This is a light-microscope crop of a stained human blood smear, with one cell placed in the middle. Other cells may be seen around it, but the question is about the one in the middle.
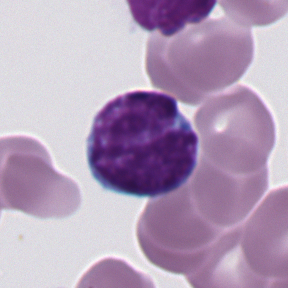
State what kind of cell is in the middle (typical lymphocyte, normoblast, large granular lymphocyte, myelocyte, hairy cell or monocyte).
typical lymphocyte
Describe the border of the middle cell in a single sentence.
The cell shows a smooth outline that lacks any surface projections.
